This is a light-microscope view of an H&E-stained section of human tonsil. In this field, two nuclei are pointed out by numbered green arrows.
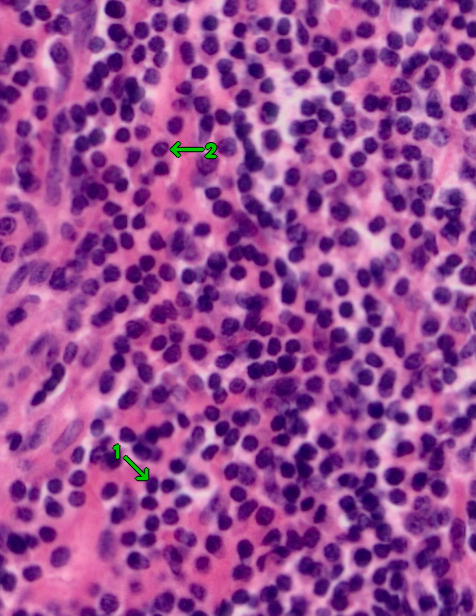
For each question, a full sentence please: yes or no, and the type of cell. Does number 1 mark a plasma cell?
No, as for cell 1, it is a small lymphocyte and not a plasma cell.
